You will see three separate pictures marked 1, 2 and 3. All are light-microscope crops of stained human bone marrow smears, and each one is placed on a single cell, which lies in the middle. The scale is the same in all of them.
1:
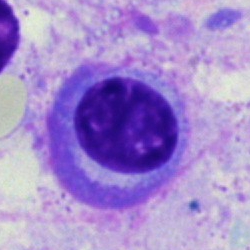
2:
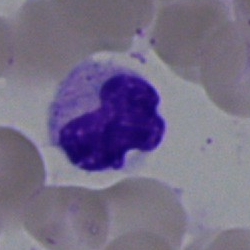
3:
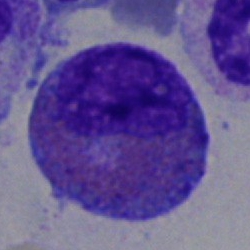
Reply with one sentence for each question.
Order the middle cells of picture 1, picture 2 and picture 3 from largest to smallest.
From the largest down, the order is 3, 1, 2.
